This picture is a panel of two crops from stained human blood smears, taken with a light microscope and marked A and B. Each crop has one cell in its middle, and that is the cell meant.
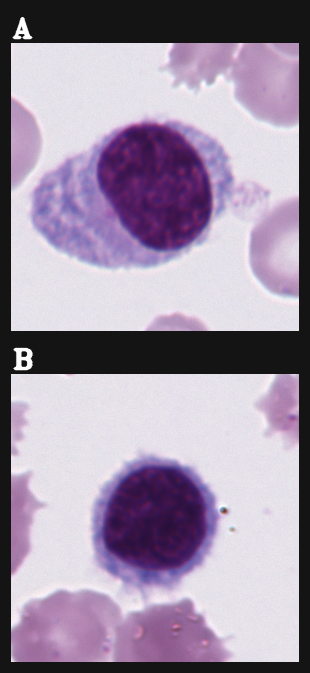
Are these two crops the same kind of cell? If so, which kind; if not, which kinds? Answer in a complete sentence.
Yes, it is hairy cells that both crops show.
